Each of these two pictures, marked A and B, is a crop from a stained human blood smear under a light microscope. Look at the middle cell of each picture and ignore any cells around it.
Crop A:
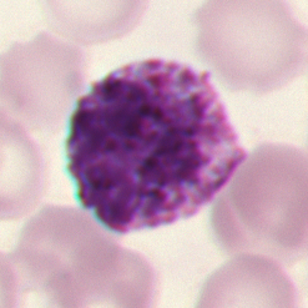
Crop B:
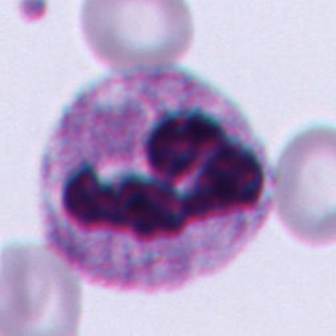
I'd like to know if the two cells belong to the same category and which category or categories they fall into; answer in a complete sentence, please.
No, crop A shows a basophil, and the cell in crop B is a segmented neutrophil.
